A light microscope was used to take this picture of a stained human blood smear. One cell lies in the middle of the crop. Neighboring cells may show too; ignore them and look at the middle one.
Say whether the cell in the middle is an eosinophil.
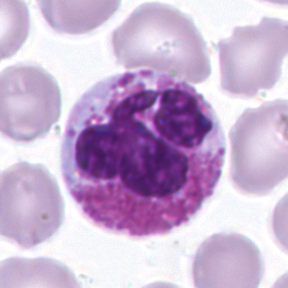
yes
